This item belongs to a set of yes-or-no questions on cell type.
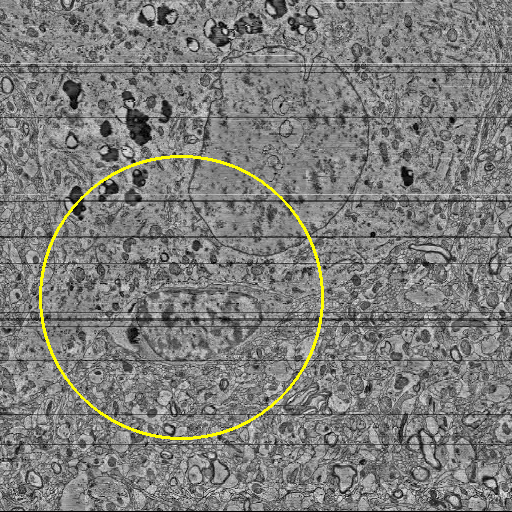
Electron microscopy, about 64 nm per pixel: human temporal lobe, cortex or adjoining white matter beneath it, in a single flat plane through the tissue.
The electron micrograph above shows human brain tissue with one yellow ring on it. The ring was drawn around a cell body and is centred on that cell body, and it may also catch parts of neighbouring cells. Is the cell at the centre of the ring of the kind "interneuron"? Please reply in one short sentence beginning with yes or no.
No, that cell is of another kind.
